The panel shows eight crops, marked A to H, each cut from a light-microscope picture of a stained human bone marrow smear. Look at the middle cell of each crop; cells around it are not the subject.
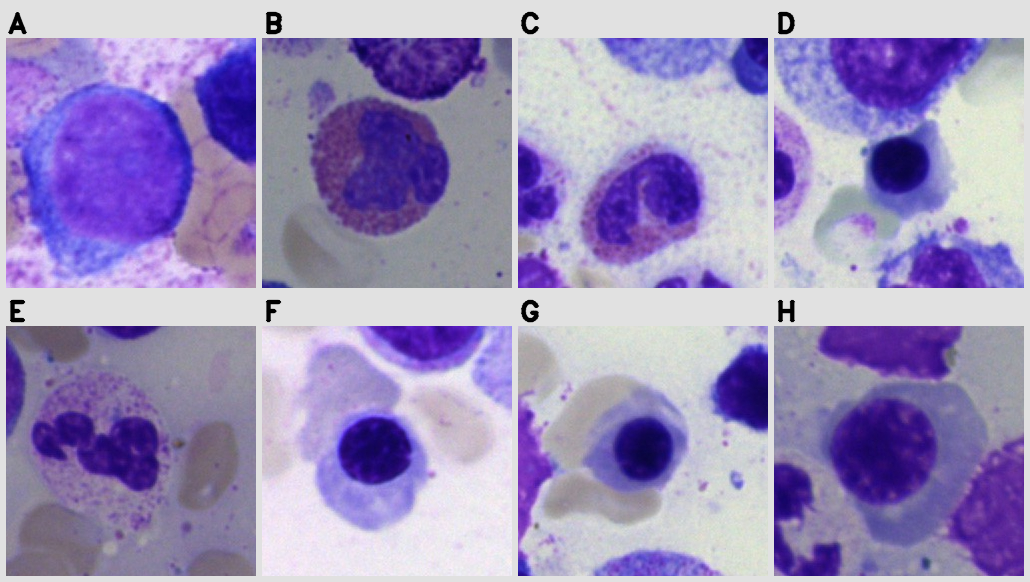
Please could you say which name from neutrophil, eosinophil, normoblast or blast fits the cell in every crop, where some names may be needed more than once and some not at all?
A: blast
B: eosinophil
C: eosinophil
D: normoblast
E: neutrophil
F: normoblast
G: normoblast
H: normoblast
